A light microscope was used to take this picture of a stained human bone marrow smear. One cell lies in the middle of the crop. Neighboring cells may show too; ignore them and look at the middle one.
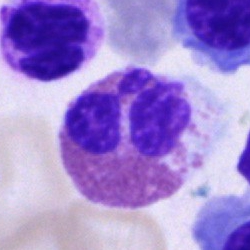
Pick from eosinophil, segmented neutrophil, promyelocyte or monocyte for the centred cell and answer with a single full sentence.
Where the crop is centred, there is an eosinophil.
